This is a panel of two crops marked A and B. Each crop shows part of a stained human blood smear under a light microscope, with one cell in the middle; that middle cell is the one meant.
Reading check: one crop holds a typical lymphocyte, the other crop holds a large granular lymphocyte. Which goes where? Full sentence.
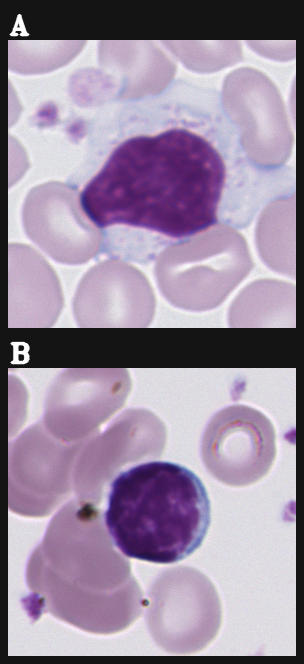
As for the pair, crop A is a large granular lymphocyte and crop B is a typical lymphocyte.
